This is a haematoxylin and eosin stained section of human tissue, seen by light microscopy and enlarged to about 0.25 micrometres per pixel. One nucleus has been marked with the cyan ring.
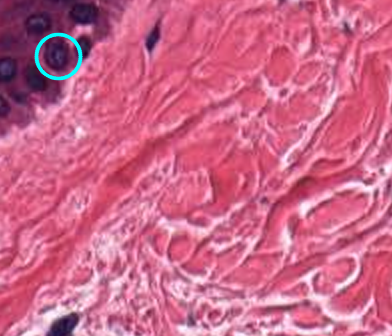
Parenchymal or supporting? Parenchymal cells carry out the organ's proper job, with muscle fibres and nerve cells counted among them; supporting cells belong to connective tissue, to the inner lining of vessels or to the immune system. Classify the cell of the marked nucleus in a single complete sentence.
The nucleus that is marked belongs to a parenchymal cell, namely a keratinocyte.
